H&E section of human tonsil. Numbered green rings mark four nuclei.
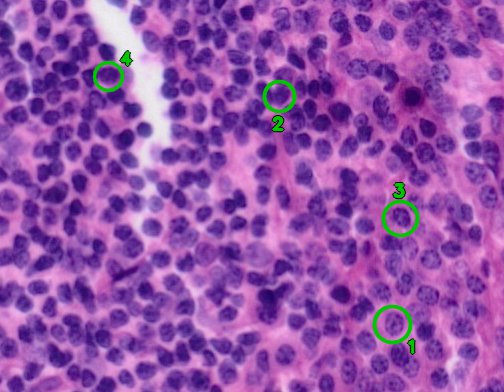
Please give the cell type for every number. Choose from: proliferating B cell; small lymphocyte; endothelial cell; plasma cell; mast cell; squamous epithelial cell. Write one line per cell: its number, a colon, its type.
1: plasma cell
2: small lymphocyte
3: plasma cell
4: small lymphocyte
